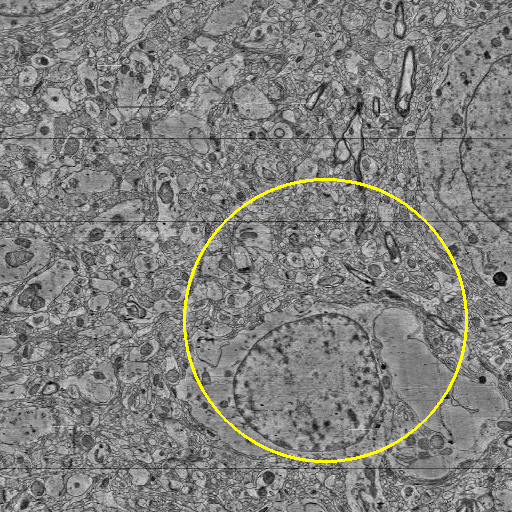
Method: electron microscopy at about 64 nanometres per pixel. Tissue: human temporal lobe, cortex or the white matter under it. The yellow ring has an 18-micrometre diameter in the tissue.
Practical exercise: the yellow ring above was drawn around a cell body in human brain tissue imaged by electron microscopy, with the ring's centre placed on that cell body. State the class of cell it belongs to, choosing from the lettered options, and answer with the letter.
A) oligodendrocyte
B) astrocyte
B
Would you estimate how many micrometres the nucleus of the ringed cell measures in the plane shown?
In this plane the ringed cell's nucleus is roughly 9 micrometres across.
